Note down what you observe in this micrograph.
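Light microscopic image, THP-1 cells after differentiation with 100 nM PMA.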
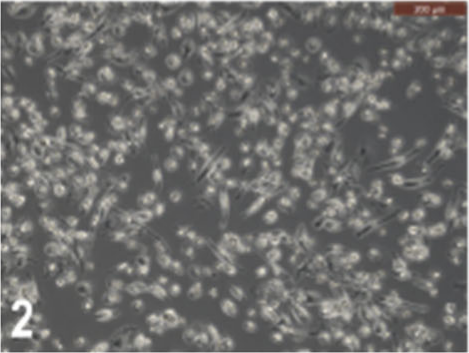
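These are macrophage-like cells that have attached and spread on the culture surface, seen by phase contrast. Many are flattened with irregular outlines, and a good number are drawn out into elongated or spindle shapes. Cells are densely packed and vary considerably in size and shape. Some rounder, brighter cells remain among the spread ones.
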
